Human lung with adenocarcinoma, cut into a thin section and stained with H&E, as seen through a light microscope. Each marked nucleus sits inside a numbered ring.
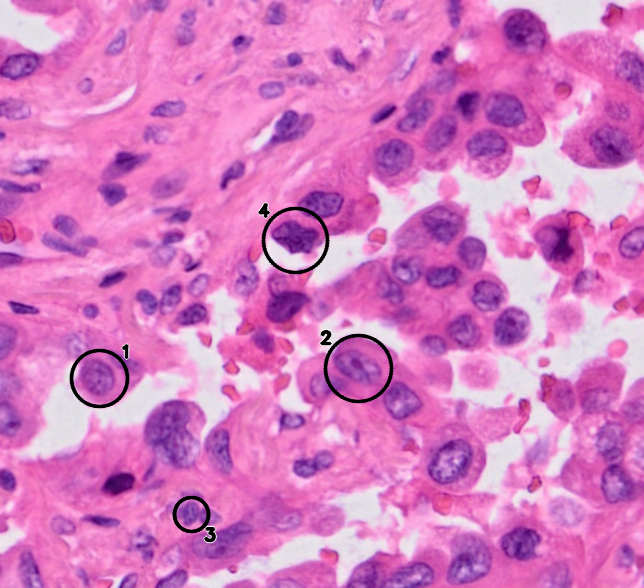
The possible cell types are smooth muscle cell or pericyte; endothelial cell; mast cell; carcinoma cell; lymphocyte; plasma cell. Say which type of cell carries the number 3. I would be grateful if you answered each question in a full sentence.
The cell to which the number 3 is assigned is a lymphocyte.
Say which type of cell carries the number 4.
The cell referred to as 4 is a carcinoma cell.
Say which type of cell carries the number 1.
Number 1 is placed on a carcinoma cell here.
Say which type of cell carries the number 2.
The mark numbered 2 indicates the nucleus of a carcinoma cell.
